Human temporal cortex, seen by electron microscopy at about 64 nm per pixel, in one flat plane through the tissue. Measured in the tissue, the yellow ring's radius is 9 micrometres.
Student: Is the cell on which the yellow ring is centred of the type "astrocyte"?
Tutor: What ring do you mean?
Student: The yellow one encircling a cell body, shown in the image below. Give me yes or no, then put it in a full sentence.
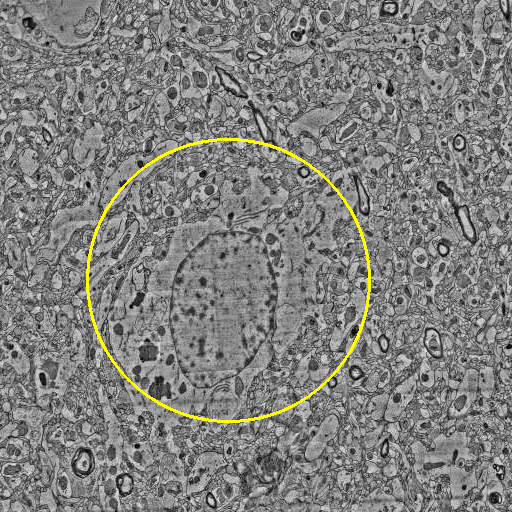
Yes, the cell on which the yellow ring in the image is centred has that type.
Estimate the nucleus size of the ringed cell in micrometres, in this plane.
In this plane the nucleus spans approximately 10 by 7 micrometers.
